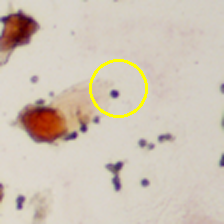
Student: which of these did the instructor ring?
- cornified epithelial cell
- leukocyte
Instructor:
The cell I ringed is a leukocyte.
